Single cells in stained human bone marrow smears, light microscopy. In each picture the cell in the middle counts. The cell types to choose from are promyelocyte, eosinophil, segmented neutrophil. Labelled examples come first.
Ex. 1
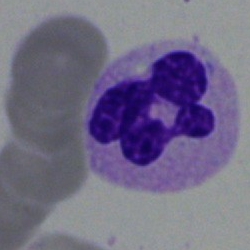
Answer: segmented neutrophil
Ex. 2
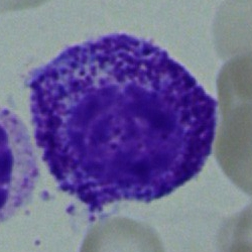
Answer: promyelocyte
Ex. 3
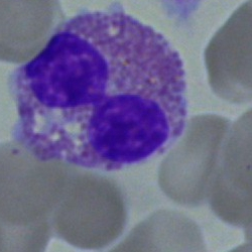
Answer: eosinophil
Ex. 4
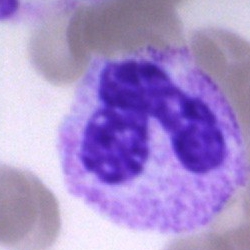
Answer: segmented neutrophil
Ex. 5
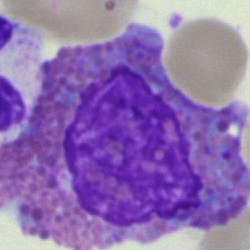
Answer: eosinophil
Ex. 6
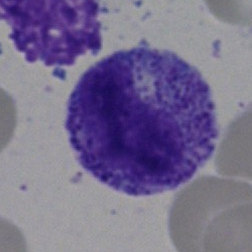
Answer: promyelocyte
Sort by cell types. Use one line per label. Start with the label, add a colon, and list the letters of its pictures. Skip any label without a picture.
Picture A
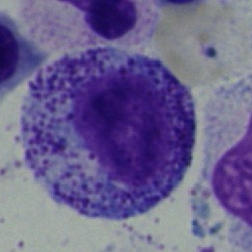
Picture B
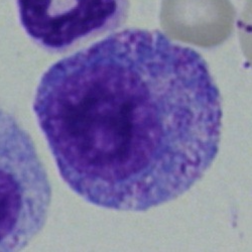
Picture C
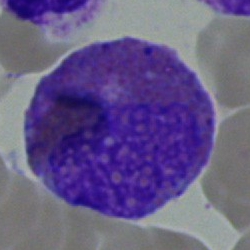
promyelocyte: A, B
eosinophil: C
